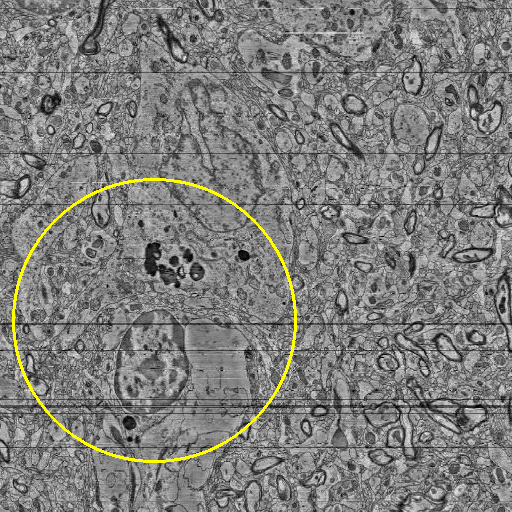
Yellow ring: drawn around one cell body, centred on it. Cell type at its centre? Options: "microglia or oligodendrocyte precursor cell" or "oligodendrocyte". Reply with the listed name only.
microglia or oligodendrocyte precursor cell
